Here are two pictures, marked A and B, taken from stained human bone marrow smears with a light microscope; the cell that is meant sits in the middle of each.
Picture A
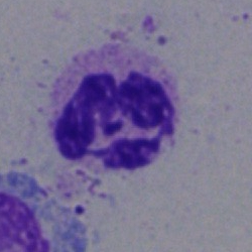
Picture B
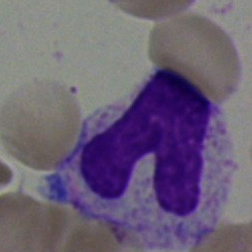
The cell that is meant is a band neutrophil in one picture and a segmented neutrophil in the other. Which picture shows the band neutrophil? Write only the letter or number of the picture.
B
